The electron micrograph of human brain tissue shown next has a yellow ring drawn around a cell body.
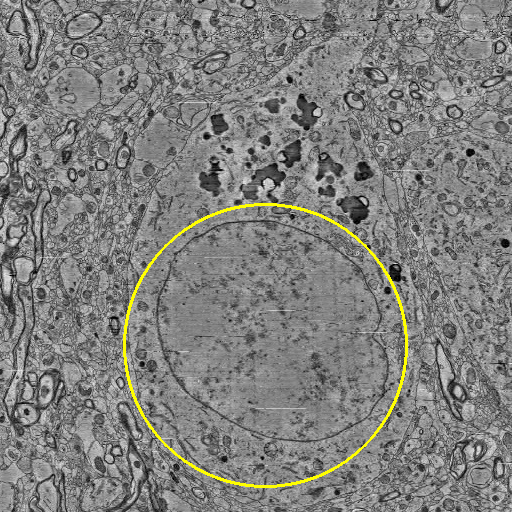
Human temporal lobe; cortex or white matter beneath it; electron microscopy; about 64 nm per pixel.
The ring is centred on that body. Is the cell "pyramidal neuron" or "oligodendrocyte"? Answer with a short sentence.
The cell in question is a pyramidal neuron.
